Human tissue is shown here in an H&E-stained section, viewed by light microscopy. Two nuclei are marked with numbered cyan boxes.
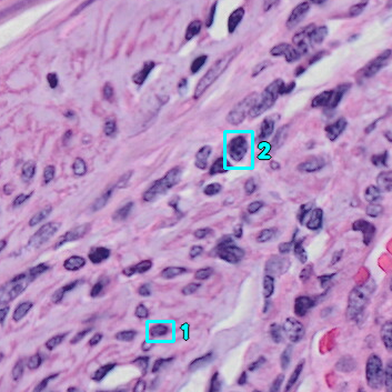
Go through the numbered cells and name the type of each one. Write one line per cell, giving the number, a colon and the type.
1: smooth muscle cell
2: lymphocyte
